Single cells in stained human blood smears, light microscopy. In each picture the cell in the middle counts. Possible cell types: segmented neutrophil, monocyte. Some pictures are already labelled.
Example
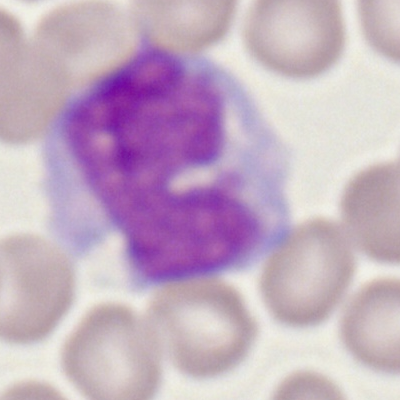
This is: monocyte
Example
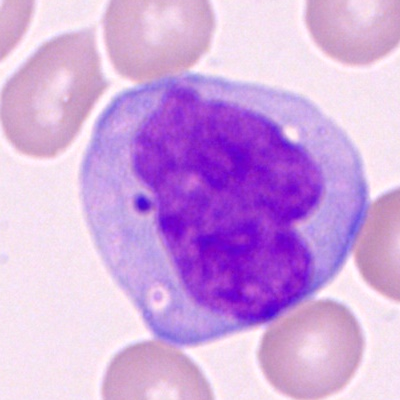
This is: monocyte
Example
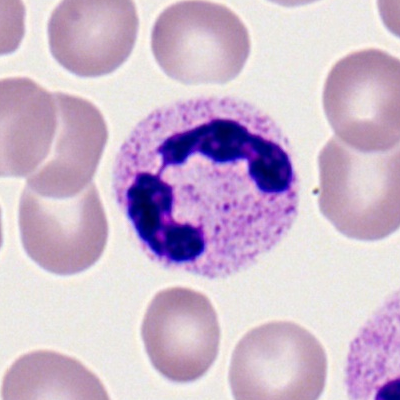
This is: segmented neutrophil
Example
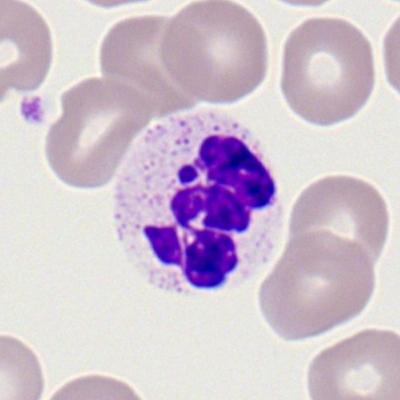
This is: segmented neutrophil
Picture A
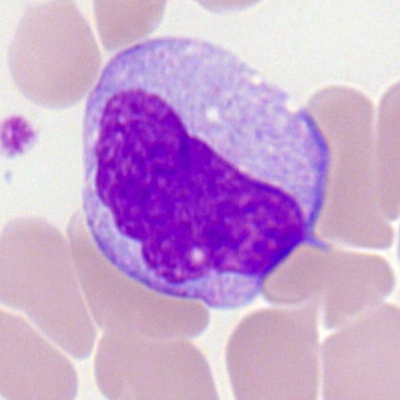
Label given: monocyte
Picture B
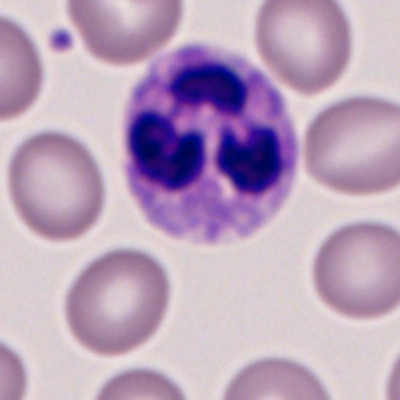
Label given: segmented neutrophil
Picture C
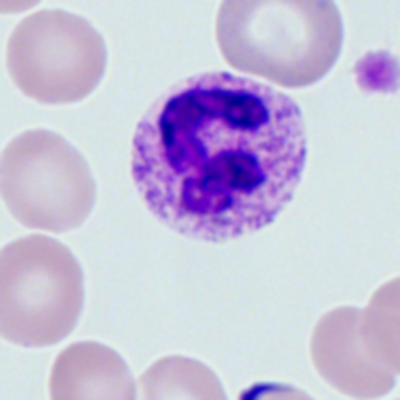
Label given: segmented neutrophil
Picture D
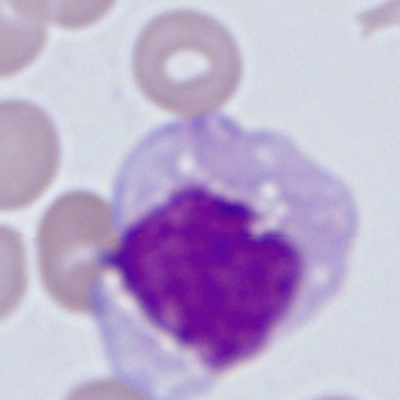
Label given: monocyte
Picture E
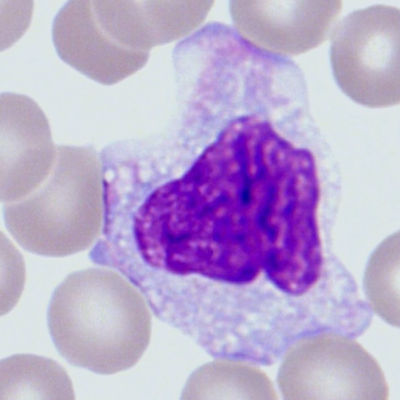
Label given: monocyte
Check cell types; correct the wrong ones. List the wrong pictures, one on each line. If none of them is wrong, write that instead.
Nothing to fix; every label fits.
